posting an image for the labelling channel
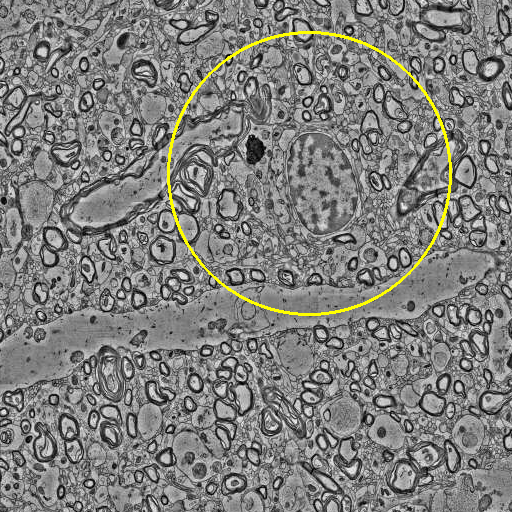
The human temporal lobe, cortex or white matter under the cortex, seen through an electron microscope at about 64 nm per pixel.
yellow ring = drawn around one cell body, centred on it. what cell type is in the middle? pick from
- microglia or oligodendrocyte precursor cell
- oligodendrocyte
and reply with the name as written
microglia or oligodendrocyte precursor cell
